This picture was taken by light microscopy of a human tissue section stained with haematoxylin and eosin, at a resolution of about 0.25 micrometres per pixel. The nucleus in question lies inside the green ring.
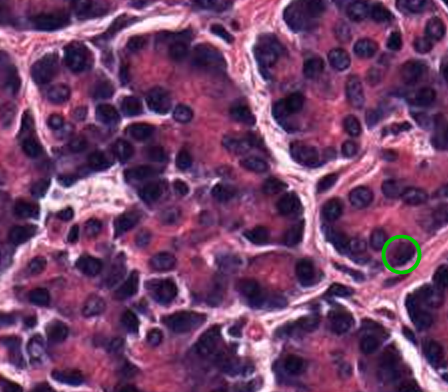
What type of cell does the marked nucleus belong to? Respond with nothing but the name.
pancreatic acinar cell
